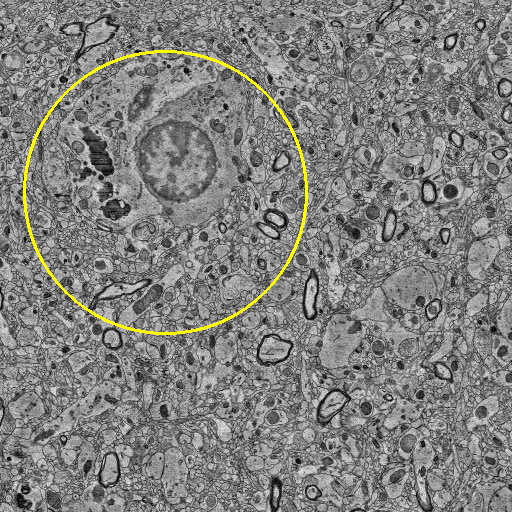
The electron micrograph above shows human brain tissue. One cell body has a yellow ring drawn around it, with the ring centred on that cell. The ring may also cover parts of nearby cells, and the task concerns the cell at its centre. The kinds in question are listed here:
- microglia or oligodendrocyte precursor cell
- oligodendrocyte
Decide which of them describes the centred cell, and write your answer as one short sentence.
The centred cell is an oligodendrocyte.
